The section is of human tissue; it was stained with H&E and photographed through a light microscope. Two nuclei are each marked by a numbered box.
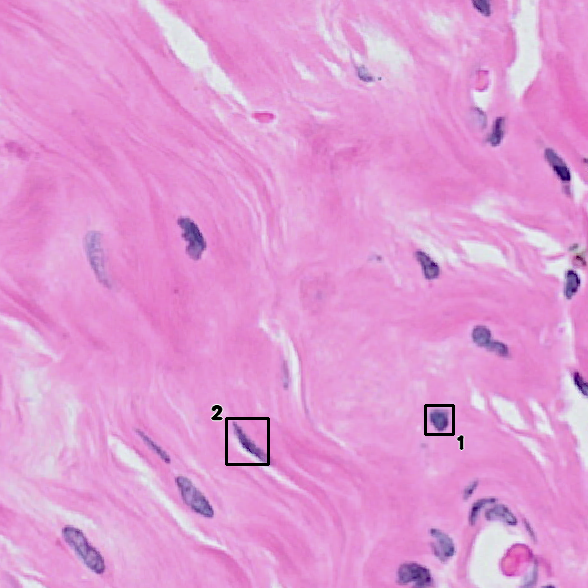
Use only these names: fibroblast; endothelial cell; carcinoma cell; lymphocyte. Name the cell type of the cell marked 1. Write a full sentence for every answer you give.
To a lymphocyte belongs the nucleus marked 1.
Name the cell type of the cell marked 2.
Of the numbered cells, the one labelled 2 is a fibroblast.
